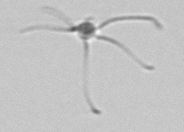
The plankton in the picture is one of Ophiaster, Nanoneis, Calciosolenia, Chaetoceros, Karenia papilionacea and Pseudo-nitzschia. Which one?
Ophiaster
